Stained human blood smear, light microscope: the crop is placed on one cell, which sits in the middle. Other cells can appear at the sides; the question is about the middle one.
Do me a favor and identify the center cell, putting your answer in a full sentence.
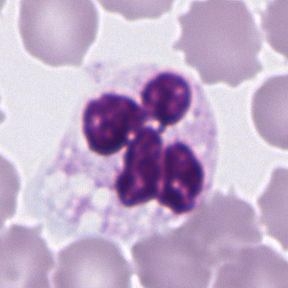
The central element of this crop is a cell, namely a segmented neutrophil.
